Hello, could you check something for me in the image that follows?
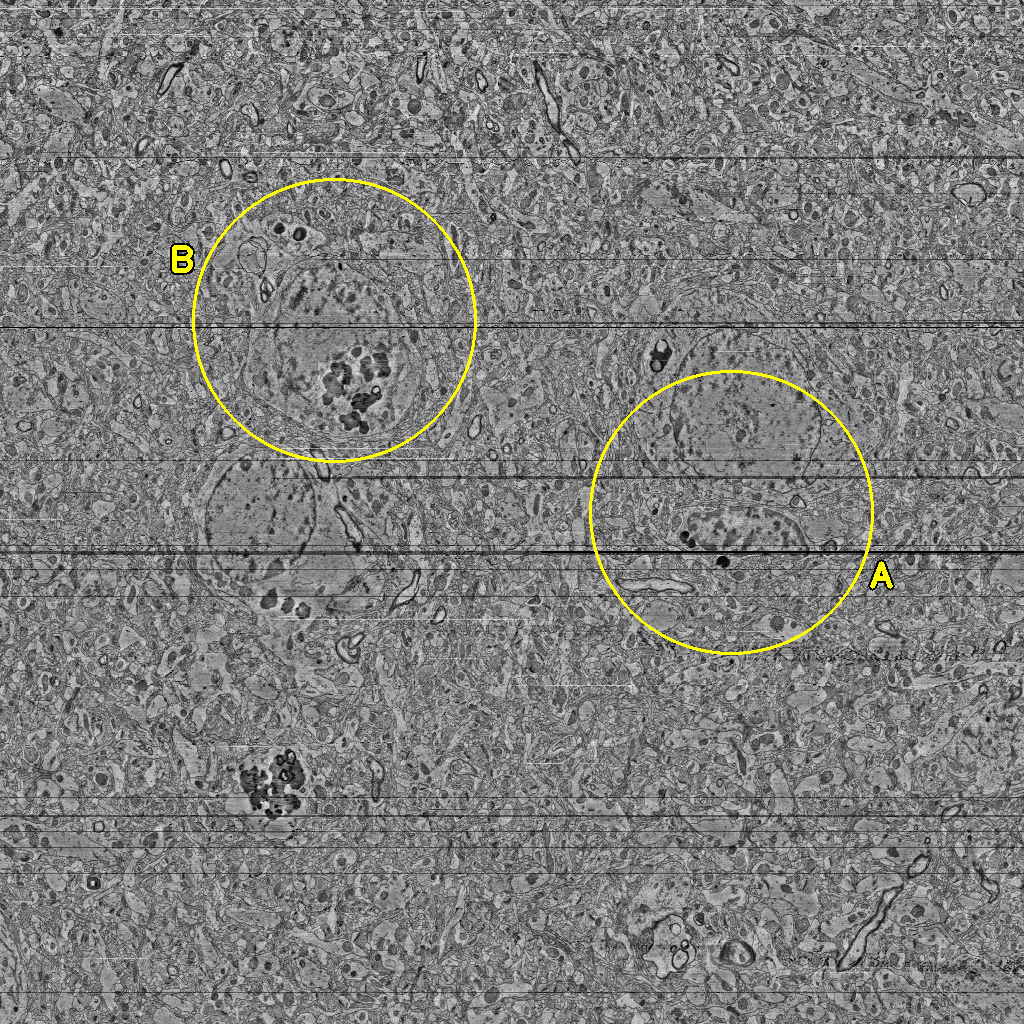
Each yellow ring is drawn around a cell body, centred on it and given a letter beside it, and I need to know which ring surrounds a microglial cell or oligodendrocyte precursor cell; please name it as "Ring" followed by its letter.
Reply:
Ring A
